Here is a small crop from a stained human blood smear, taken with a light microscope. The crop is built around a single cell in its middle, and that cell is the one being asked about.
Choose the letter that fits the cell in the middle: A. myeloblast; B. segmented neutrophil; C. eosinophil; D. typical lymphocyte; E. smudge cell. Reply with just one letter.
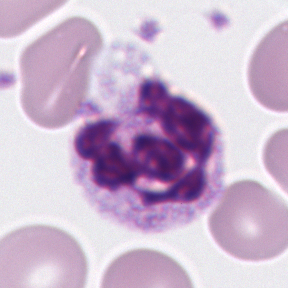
B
